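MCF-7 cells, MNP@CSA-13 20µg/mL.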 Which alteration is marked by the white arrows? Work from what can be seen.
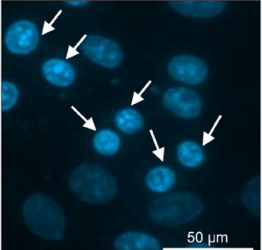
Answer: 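The arrowed nuclei are smaller and rounder than the unmarked ones. The arrowed nuclei are brighter blue than their neighbours.
Morphological changes in nuclei.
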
